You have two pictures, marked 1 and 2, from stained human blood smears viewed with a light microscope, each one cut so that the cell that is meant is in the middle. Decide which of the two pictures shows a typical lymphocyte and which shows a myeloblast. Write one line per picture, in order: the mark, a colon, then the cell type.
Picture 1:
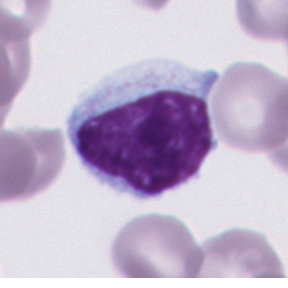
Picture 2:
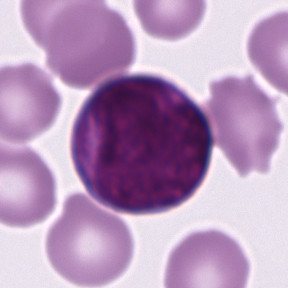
1: typical lymphocyte
2: myeloblast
